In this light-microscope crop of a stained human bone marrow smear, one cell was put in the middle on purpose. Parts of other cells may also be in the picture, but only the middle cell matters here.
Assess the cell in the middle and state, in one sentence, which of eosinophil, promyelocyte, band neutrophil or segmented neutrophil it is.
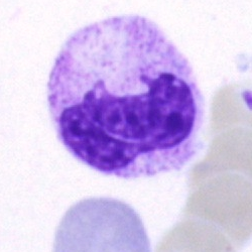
For this crop, the central cell is a band neutrophil.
